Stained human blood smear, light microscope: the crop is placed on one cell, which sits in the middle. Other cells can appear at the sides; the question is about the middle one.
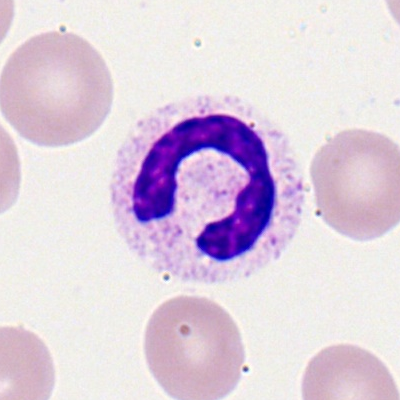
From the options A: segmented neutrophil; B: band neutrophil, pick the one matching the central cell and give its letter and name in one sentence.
Of the choices given, option B is right, as the central cell is a band neutrophil.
